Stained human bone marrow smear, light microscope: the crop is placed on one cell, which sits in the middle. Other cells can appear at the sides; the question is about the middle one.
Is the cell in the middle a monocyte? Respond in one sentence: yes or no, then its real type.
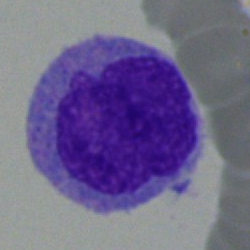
Yes, what sits in the middle of the crop is a monocyte.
